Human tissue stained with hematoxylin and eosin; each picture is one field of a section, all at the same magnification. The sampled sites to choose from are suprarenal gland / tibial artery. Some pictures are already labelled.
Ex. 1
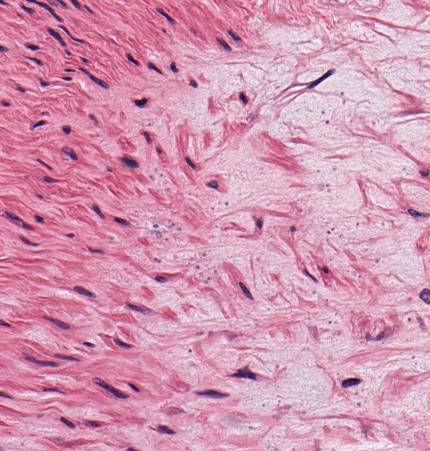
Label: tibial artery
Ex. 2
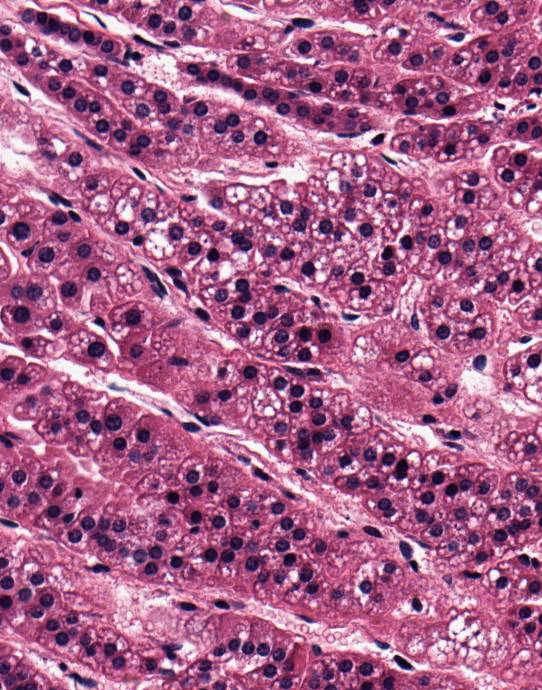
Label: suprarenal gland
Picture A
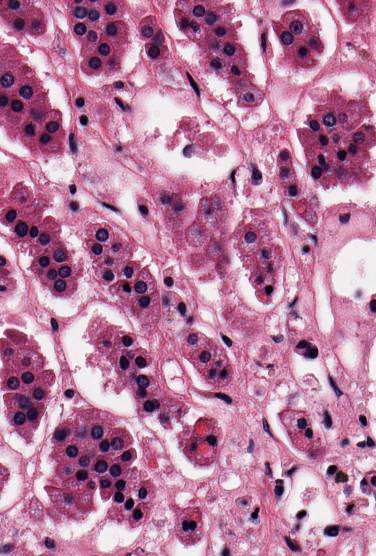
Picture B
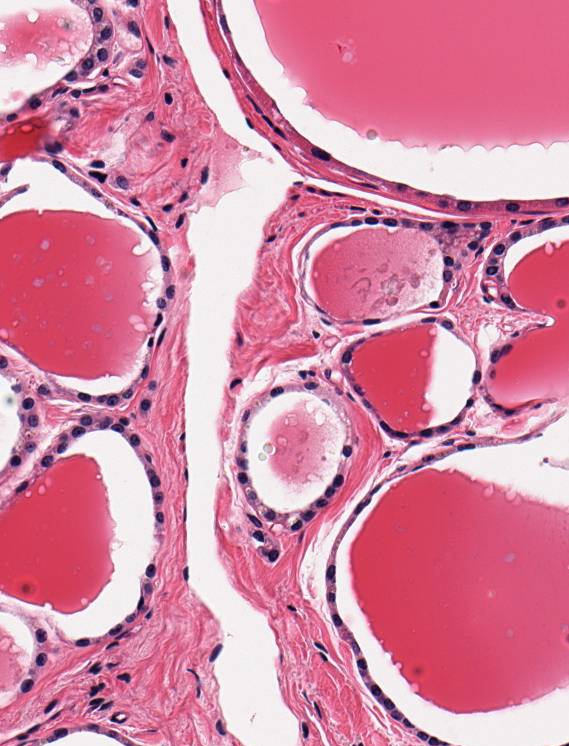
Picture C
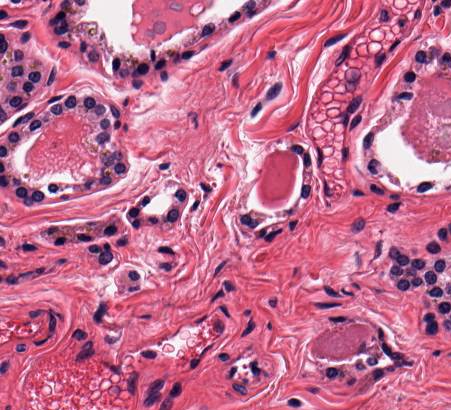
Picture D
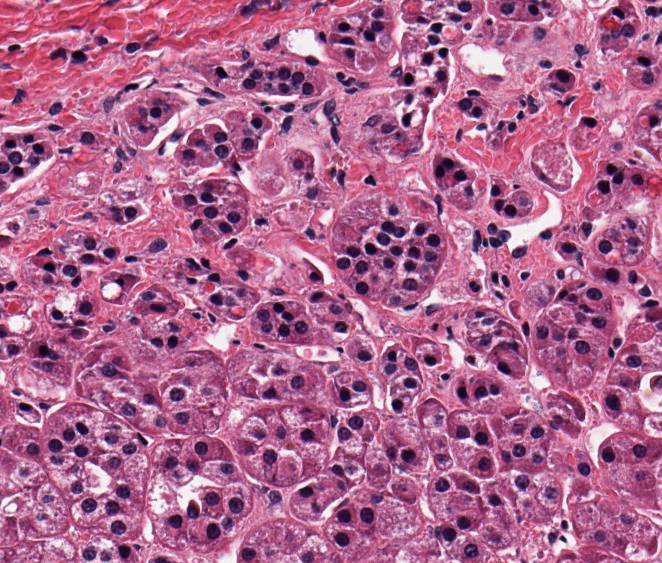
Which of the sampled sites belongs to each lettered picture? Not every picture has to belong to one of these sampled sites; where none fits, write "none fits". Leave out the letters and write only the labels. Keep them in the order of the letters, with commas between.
suprarenal gland, none fits, none fits, suprarenal gland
